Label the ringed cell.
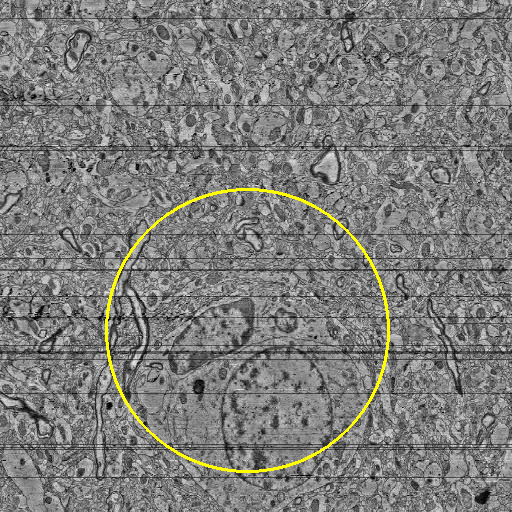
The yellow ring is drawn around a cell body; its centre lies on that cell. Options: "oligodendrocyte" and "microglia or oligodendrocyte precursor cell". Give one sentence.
The ringed cell is a microglial cell or oligodendrocyte precursor cell.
